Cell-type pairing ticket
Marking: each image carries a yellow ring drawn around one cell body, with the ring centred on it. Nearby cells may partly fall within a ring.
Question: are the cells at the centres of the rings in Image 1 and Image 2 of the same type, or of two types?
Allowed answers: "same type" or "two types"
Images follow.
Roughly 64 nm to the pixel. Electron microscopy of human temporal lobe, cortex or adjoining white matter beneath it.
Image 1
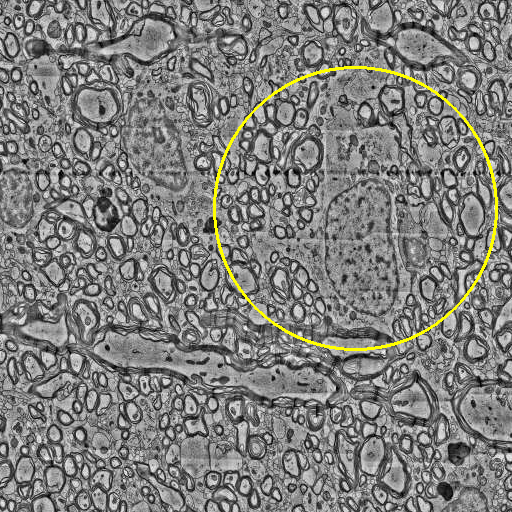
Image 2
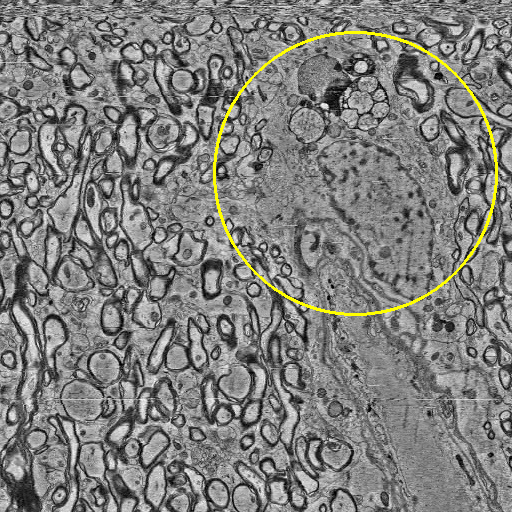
same type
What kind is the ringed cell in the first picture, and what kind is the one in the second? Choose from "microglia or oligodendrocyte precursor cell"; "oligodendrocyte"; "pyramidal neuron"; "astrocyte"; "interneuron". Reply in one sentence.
Each cell, in the first picture and the second, is an astrocyte.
